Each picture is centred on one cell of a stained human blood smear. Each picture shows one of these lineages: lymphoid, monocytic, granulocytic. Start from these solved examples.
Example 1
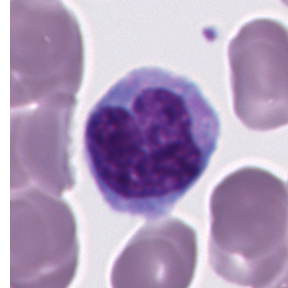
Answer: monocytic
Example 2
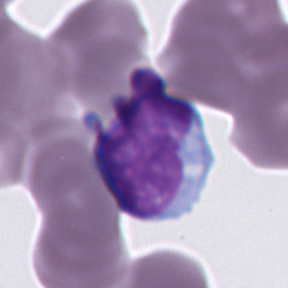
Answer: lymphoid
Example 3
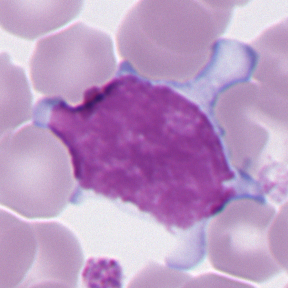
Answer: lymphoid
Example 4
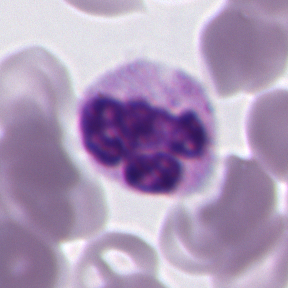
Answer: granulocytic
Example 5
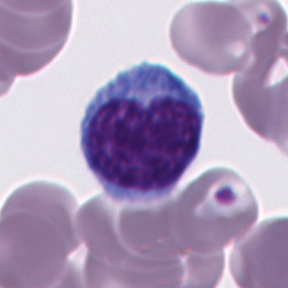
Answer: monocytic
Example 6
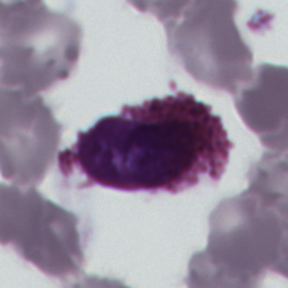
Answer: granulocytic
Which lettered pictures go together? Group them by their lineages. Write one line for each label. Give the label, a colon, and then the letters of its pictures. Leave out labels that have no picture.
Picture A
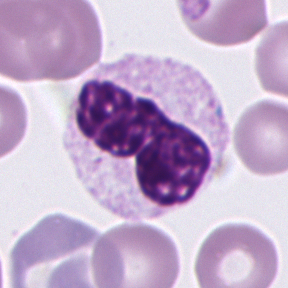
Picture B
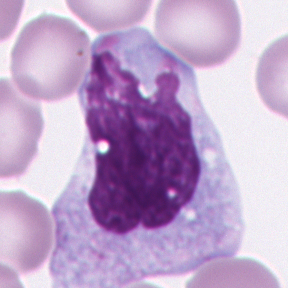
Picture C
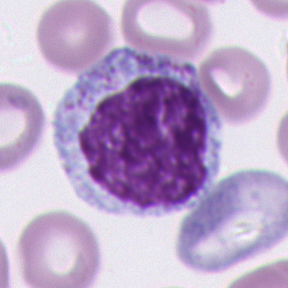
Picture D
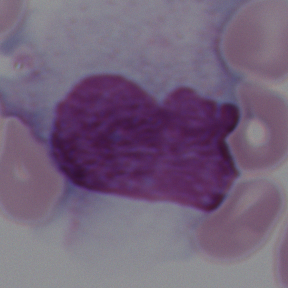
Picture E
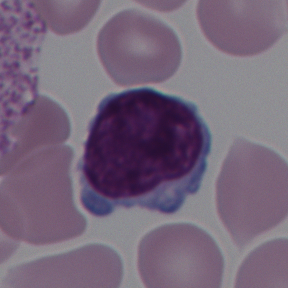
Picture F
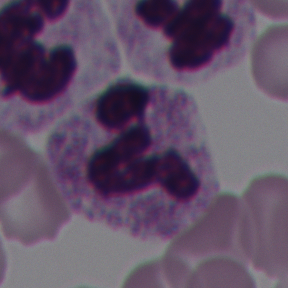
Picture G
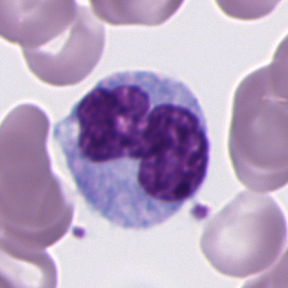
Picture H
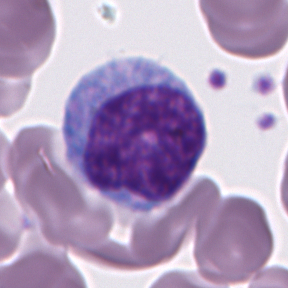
lymphoid: E
monocytic: B, D, G, H
granulocytic: A, C, F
